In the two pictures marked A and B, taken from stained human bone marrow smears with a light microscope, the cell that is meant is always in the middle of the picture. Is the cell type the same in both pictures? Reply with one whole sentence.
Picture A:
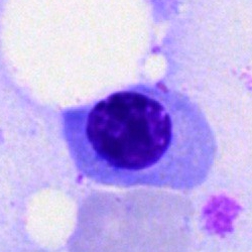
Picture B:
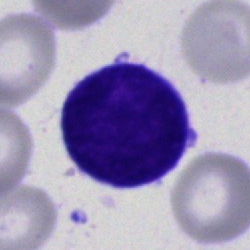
No; the cell in picture A is an erythroblast, while the one in picture B is a blast.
